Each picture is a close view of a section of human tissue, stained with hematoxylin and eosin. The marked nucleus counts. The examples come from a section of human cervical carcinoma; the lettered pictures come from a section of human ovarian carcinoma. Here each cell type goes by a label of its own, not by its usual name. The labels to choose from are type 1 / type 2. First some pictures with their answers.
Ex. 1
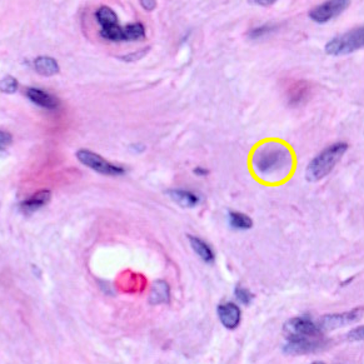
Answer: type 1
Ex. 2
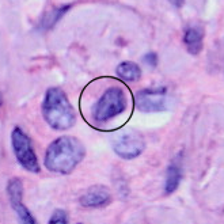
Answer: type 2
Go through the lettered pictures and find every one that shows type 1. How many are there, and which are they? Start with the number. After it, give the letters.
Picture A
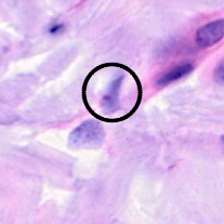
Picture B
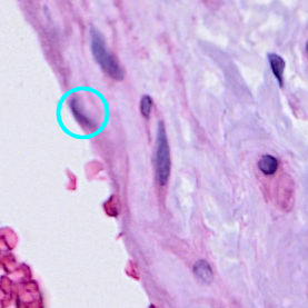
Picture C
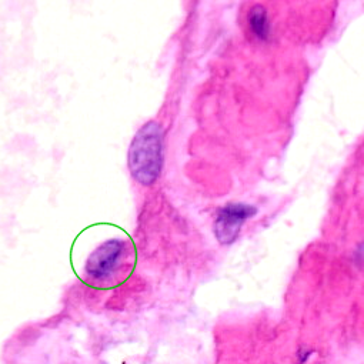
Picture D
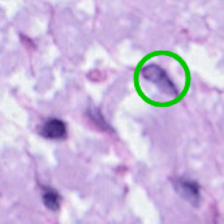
2, namely A, D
